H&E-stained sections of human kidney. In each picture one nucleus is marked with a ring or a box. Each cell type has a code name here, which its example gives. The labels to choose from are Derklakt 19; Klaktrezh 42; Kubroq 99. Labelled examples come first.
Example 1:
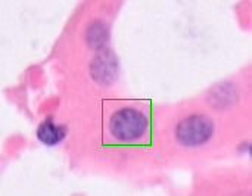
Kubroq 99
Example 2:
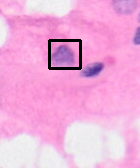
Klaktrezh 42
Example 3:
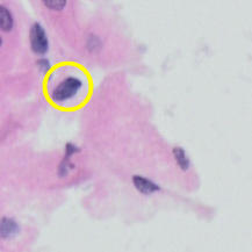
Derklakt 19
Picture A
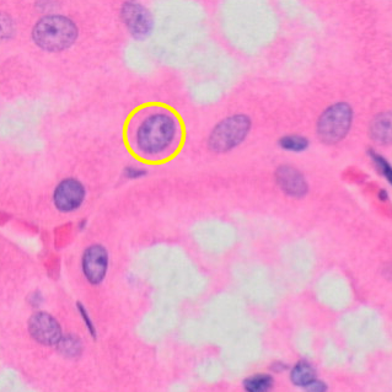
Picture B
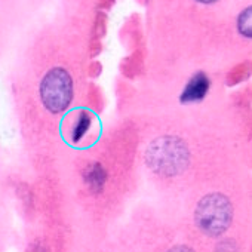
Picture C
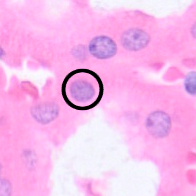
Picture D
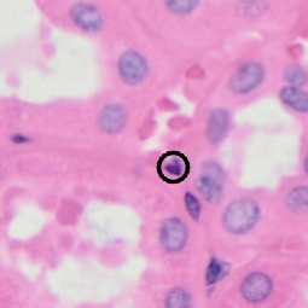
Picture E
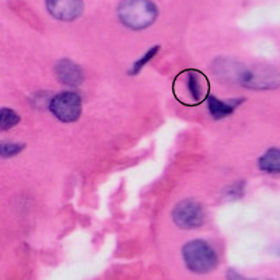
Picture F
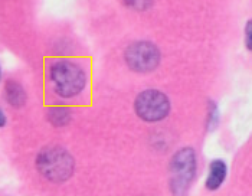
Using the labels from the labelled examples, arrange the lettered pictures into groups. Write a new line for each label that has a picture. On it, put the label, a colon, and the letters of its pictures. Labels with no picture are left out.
Derklakt 19: B, D, E
Klaktrezh 42: A, C, F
